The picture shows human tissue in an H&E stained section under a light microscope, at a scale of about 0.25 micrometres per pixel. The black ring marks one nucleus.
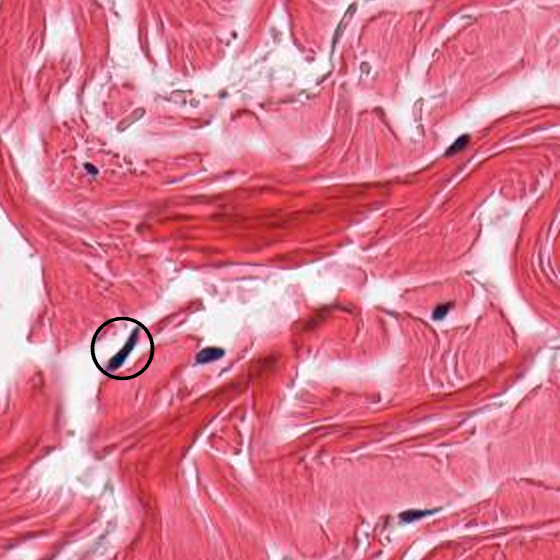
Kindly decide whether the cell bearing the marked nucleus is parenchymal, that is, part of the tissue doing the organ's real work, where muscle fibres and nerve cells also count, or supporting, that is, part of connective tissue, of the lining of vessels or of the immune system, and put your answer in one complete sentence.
The marked nucleus in this section is part of a supporting cell.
